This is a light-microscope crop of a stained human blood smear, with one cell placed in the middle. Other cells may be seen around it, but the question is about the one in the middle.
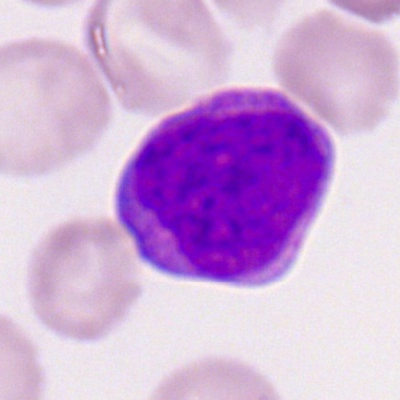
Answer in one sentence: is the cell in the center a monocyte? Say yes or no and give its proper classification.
No, it isn't a monocyte; what sits in the middle is a blast.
